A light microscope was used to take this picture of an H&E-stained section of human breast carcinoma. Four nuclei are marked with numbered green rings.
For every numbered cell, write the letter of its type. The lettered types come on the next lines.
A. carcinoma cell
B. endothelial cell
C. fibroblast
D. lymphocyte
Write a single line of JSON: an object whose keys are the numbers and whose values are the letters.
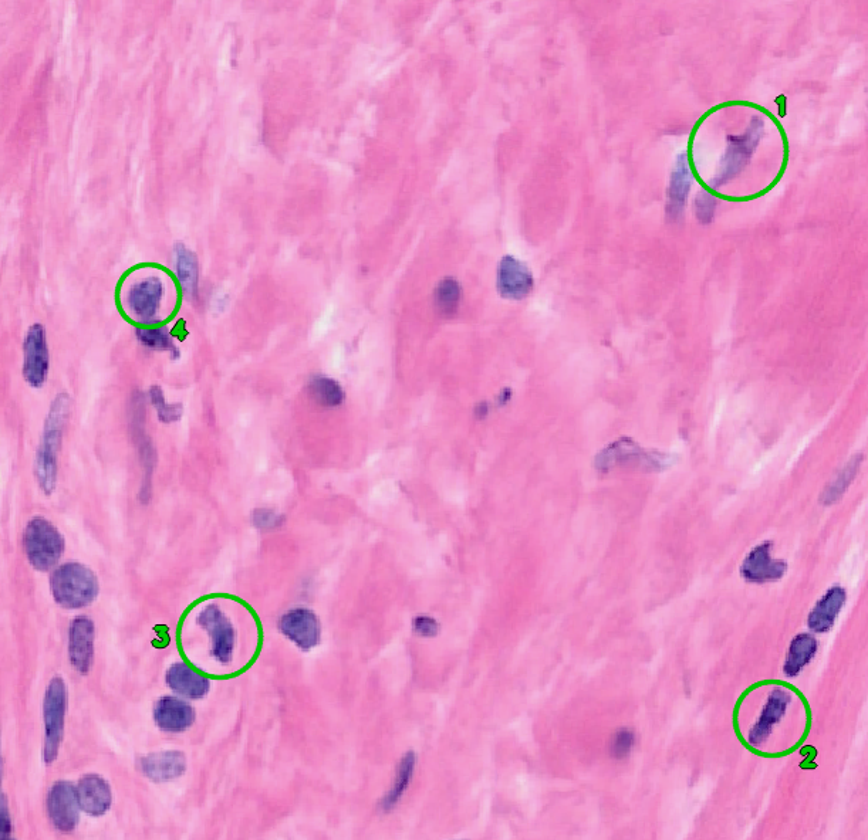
{"1": "C", "2": "D", "3": "D", "4": "D"}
